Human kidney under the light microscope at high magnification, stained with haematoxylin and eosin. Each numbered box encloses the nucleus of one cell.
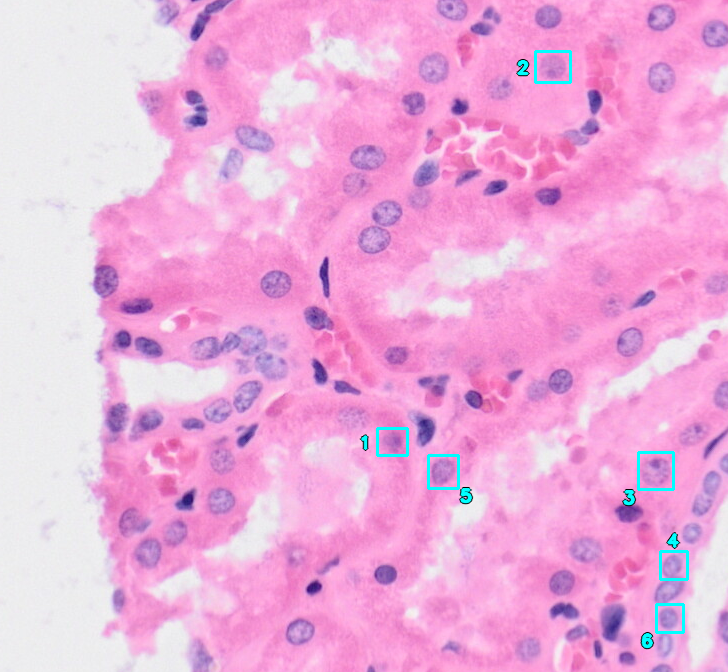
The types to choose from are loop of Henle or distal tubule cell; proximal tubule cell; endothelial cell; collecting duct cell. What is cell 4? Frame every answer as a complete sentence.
The cell referred to as 4 is a collecting duct cell.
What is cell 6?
Marked with the number 6, this cell is a collecting duct cell.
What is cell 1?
Number 1 among the marked cells is a proximal tubule cell.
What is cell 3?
Nucleus 3 in this section belongs to a proximal tubule cell.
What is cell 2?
Marked with the number 2, this cell is a proximal tubule cell.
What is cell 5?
In the tissue shown, cell 5 is a proximal tubule cell.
